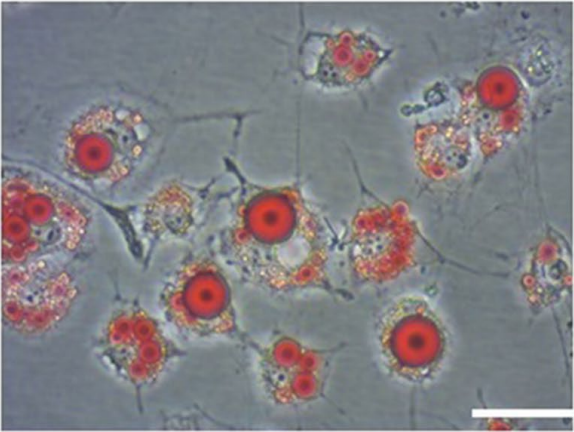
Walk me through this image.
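Rounded cells scattered over a pale, flat background each contain round bodies stained red. Many cells carry one large red sphere surrounded by smaller red and orange droplets, while others hold only clusters of small red droplets.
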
